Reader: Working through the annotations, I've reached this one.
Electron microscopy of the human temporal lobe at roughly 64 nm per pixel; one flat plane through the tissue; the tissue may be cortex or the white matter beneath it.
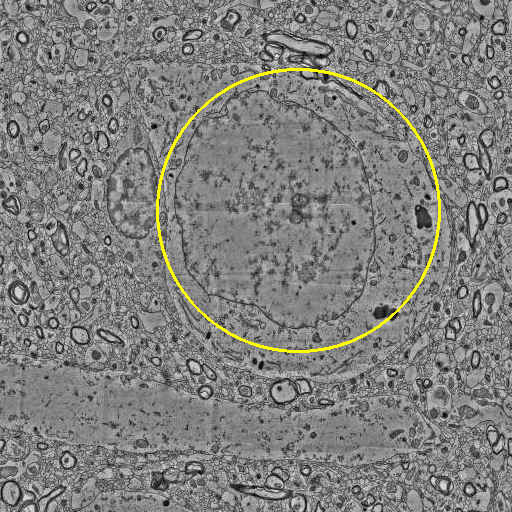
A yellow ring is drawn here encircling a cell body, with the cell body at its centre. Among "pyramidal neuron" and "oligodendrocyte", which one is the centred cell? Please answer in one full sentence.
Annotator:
The cell body at the centre of the yellow ring in this image belongs to a pyramidal neuron.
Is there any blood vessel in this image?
No, no vessel appears in the picture.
